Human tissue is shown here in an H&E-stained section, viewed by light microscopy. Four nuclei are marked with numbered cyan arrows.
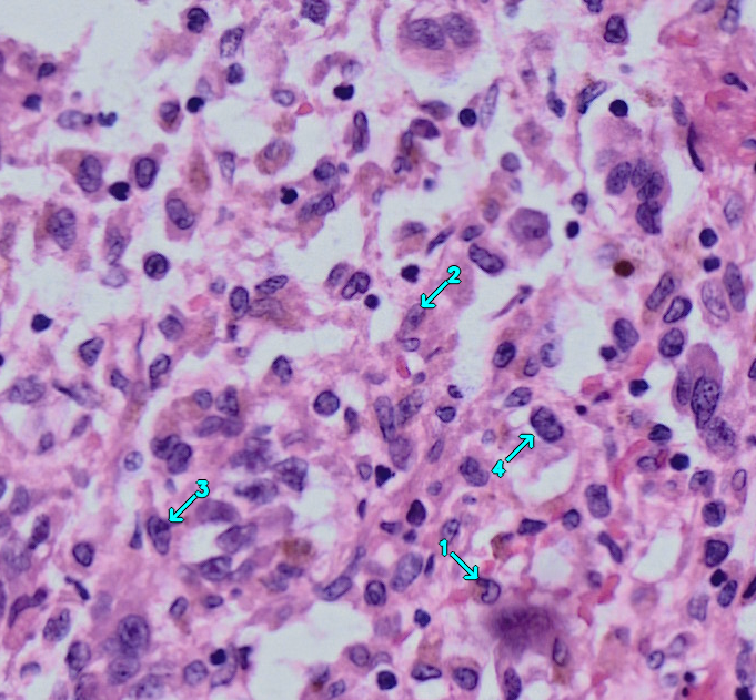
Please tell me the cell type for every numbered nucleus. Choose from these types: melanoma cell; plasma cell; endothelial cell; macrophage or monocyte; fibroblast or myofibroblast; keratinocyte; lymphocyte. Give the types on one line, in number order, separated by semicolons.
macrophage or monocyte; macrophage or monocyte; macrophage or monocyte; melanoma cell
